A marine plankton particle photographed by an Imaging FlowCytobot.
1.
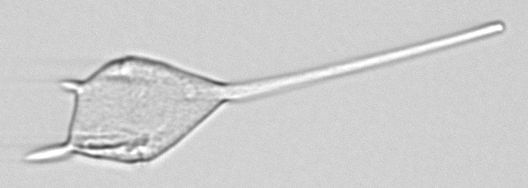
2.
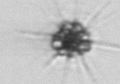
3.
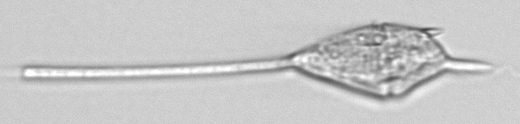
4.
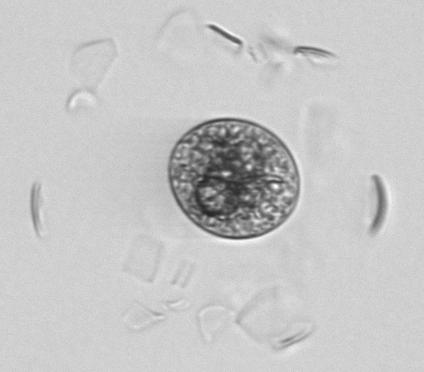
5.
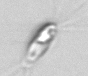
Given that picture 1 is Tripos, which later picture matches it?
3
